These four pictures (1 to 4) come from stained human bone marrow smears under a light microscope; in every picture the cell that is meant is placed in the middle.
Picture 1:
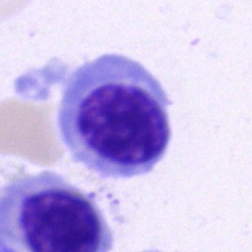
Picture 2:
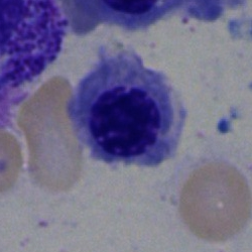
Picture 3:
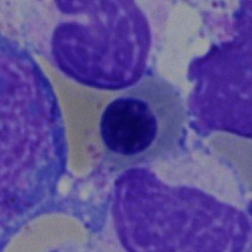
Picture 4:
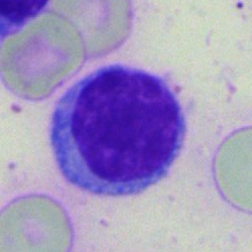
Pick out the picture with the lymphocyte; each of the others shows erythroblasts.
4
